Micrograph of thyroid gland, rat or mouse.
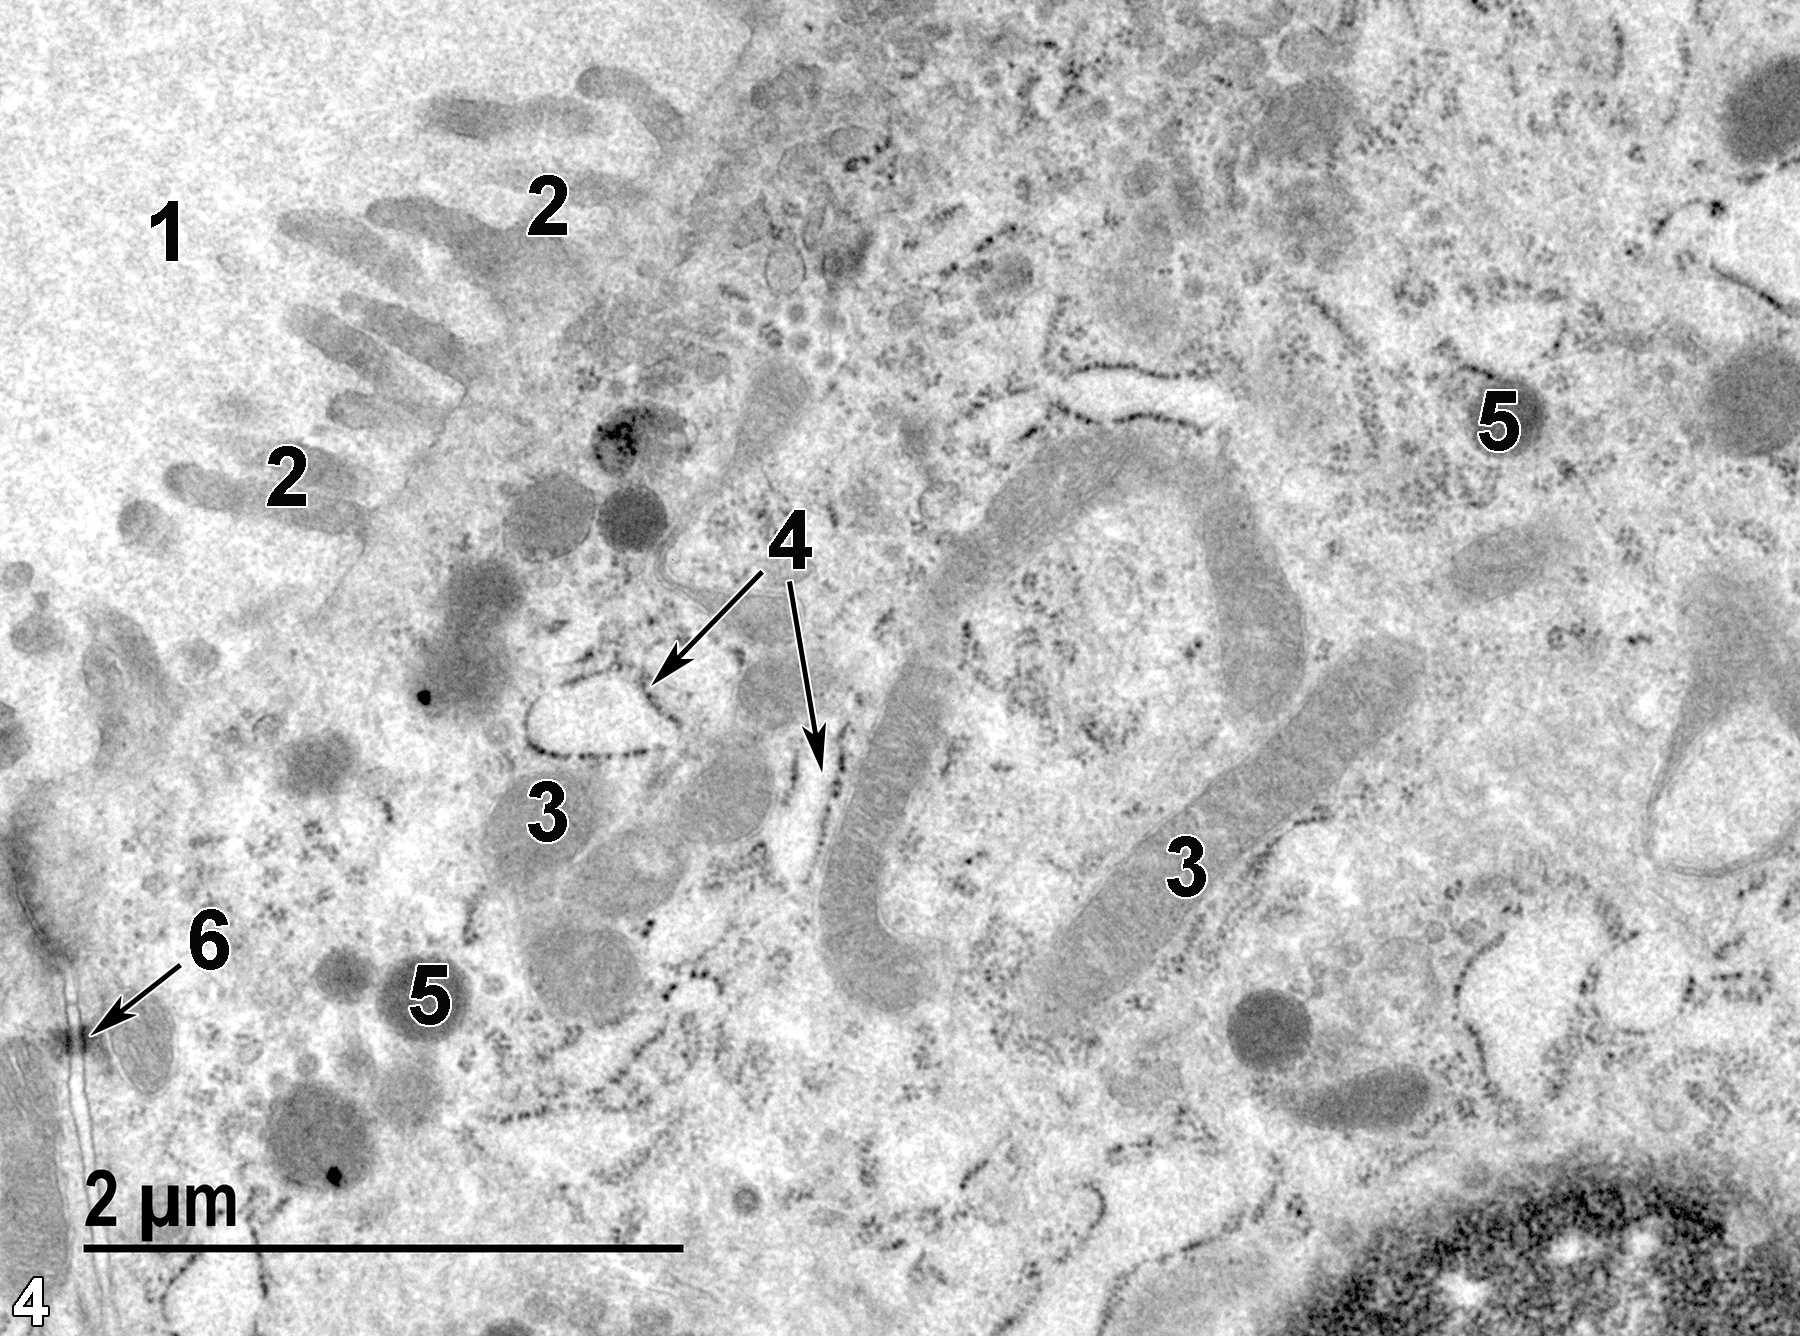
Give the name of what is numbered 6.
desmosome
